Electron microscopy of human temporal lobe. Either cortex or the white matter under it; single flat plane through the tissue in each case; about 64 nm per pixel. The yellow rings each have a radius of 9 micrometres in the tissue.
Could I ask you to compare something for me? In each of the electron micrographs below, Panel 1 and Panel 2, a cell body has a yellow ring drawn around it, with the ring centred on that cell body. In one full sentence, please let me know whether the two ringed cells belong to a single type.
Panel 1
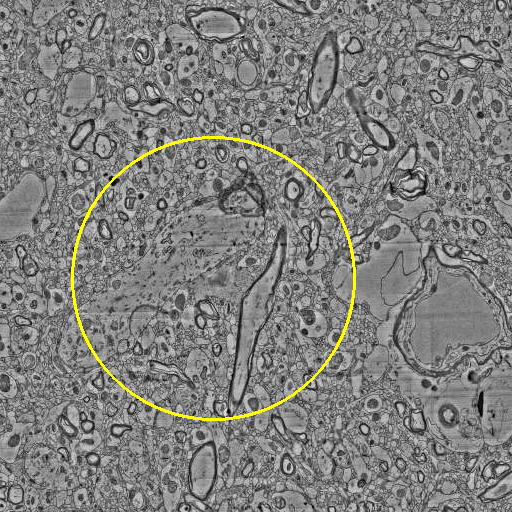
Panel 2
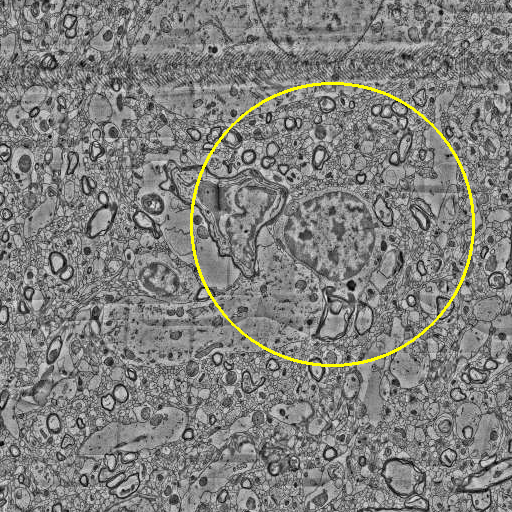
Yes, the two cells at the centres of the rings are of one type.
